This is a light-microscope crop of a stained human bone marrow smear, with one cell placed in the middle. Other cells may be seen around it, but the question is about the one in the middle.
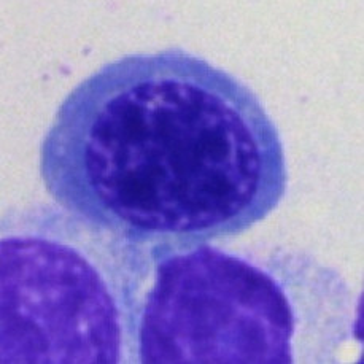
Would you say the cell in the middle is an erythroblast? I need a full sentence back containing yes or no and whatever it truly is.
Yes, what sits in the centre of the crop is an erythroblast.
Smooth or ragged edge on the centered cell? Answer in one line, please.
Its outline is smooth, with no projections anywhere along the edge.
